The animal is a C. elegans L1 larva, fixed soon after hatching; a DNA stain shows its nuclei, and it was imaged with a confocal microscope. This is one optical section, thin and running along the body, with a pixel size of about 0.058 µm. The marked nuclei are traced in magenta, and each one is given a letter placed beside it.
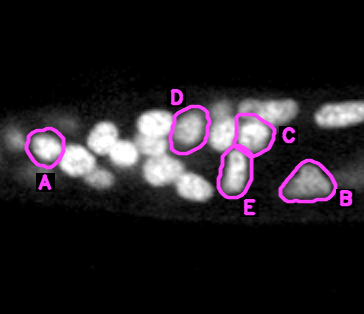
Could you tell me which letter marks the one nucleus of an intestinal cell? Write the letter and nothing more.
B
